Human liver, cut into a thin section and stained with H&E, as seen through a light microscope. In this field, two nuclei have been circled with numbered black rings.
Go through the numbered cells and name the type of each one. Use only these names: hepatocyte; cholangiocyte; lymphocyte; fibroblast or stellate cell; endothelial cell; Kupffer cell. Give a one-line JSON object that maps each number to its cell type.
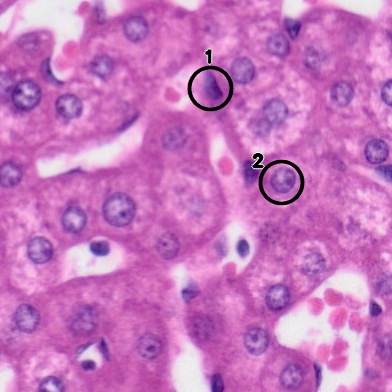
{"1": "fibroblast or stellate cell", "2": "hepatocyte"}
